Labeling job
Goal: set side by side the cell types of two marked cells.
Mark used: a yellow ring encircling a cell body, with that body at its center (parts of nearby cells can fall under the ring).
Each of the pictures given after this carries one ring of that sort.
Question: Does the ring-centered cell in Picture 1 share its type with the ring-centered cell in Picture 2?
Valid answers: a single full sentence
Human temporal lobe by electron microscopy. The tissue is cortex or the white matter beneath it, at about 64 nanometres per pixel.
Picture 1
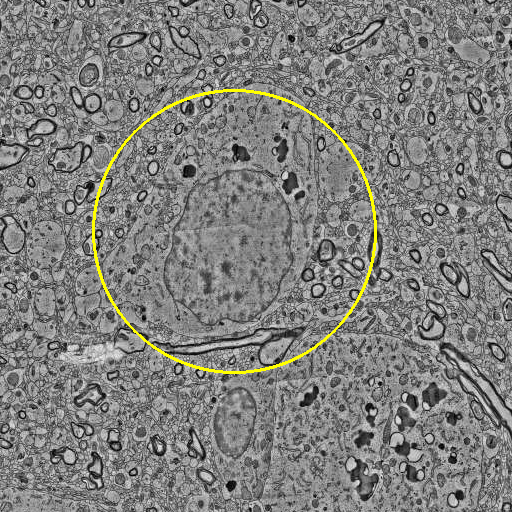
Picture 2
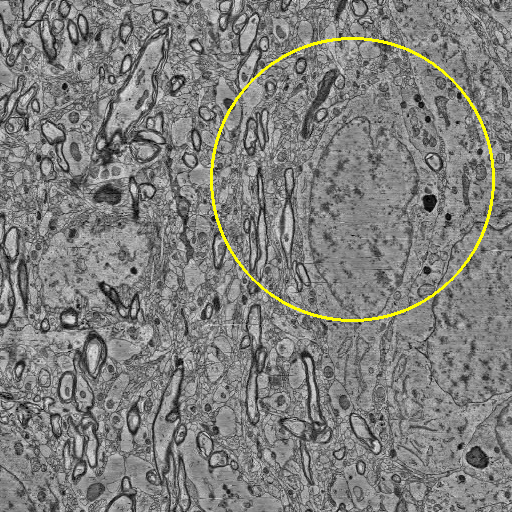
Yes, in Pictures 1 and 2 the cells at the ring centers share one type.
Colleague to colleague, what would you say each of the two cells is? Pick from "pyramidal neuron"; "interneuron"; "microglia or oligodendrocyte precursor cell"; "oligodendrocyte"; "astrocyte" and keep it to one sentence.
Both the first and the second picture show an interneuron in the ring.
